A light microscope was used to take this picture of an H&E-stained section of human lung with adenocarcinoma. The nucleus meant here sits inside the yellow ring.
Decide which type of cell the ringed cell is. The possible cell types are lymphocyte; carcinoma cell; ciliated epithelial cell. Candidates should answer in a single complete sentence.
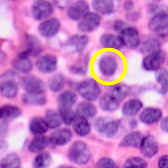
For cell typing purposes, the ringed cell is a lymphocyte.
